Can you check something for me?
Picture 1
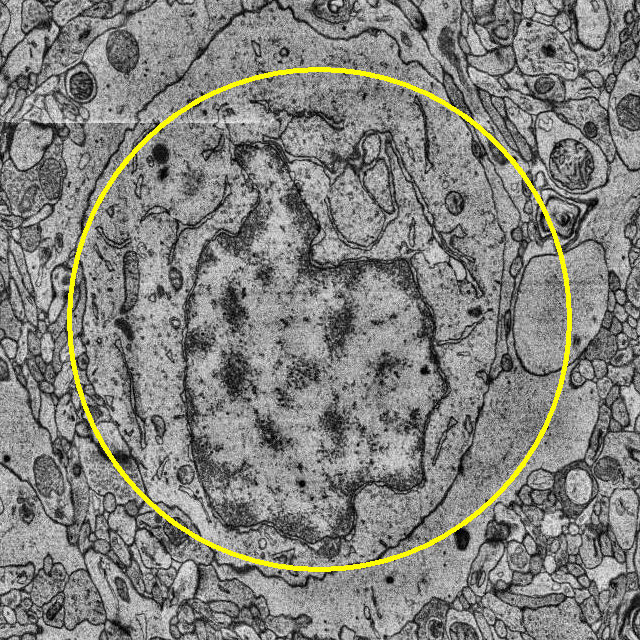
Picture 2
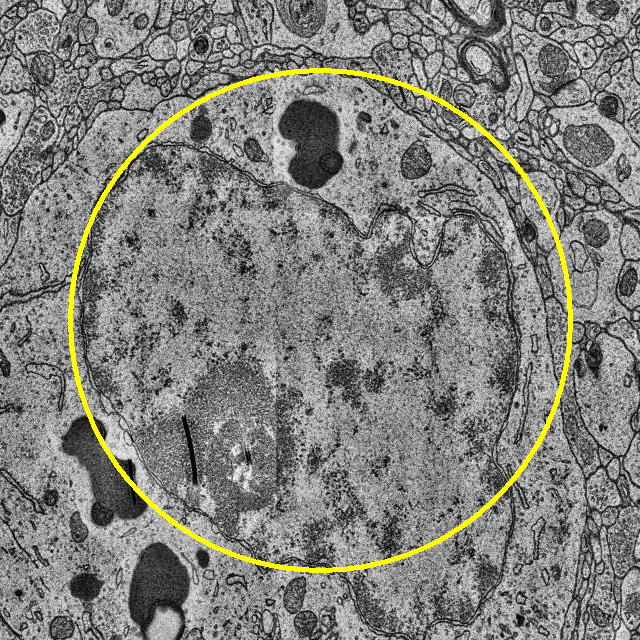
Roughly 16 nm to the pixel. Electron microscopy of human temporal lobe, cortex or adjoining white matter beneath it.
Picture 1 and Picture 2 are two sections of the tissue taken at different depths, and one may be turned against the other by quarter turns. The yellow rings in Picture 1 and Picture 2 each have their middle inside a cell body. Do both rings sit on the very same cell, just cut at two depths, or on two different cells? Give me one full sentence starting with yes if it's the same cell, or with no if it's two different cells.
No, the two rings indicate two different cells, not one.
